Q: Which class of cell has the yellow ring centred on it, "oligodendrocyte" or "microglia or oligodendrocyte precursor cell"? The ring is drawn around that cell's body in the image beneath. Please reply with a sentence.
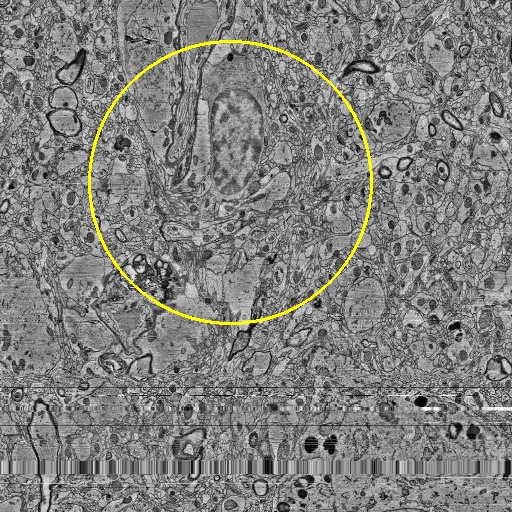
It is centred on an oligodendrocyte.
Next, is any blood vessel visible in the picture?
Yes, a blood vessel shows in the picture.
